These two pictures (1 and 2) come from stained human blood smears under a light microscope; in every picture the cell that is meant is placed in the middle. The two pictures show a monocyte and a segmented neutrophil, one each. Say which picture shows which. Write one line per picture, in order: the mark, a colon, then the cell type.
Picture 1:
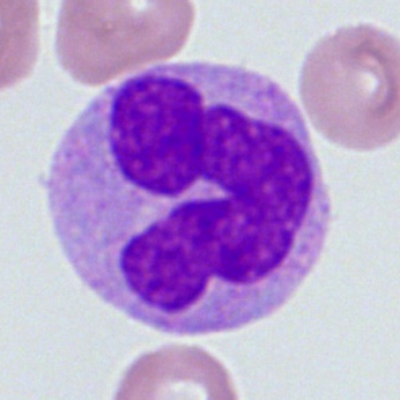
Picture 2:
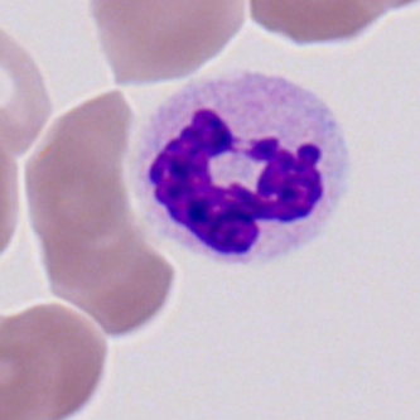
1: monocyte
2: segmented neutrophil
